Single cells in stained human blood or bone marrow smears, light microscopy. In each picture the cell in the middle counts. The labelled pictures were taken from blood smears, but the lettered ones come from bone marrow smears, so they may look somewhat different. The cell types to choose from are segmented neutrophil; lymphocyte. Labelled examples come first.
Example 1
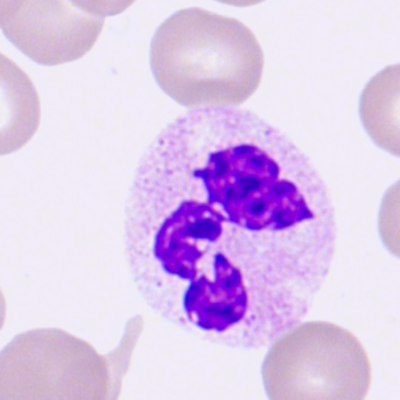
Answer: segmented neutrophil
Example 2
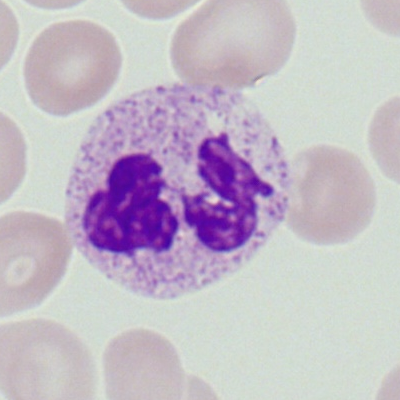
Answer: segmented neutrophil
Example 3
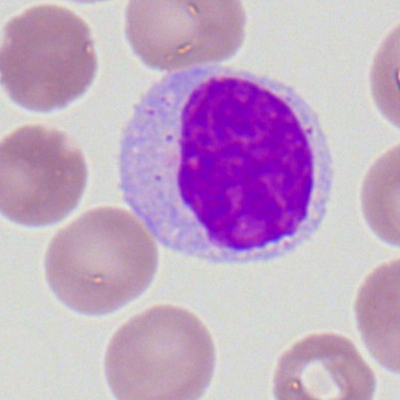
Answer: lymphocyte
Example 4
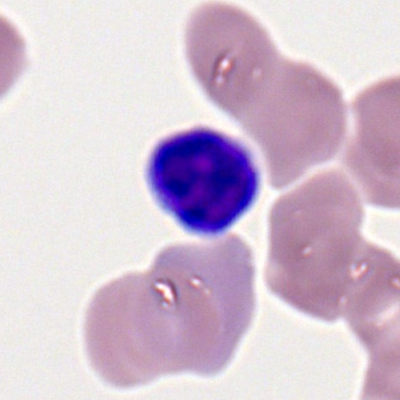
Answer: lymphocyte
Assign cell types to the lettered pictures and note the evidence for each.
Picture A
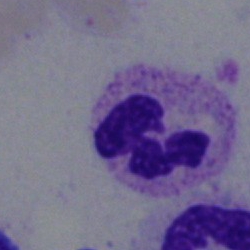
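Answer: segmented neutrophil. The cytoplasm is plentiful and pale pinkish-lilac.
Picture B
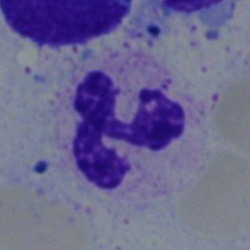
Answer: segmented neutrophil. The cytoplasm is abundant and pale pinkish-grey.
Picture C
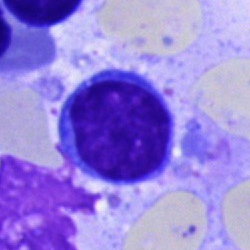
Answer: lymphocyte. The cytoplasm is a scant rim of deep blue.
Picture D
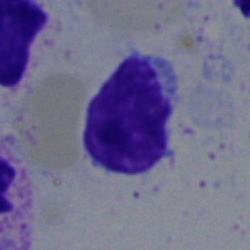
Answer: lymphocyte. The nucleus fills almost the whole cell, leaving only a narrow rim of cytoplasm.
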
